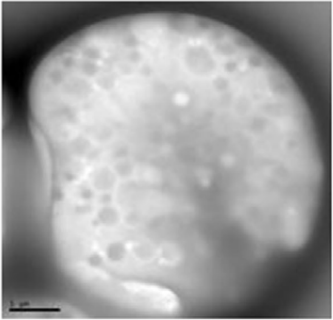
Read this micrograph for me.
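This is a single platelet seen whole, a rounded flat cell body with an irregular edge and no nucleus. The small dark opaque dots of delta granules are absent.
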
